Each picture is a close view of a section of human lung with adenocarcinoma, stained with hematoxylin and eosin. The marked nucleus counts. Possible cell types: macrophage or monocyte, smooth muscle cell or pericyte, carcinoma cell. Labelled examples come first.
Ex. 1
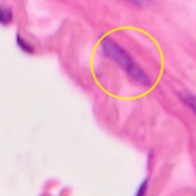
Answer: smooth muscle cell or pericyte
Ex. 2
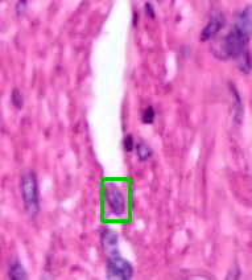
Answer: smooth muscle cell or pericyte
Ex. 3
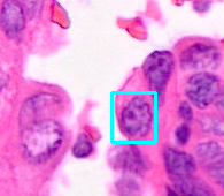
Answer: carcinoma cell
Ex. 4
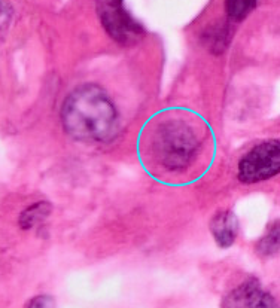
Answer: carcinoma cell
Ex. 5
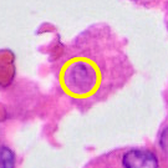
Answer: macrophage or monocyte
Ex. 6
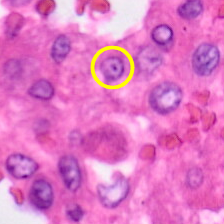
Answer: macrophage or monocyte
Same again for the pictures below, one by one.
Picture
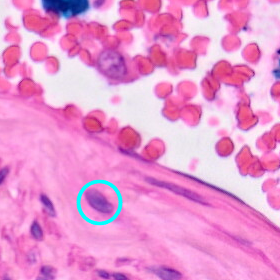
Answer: smooth muscle cell or pericyte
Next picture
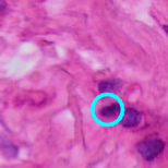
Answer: smooth muscle cell or pericyte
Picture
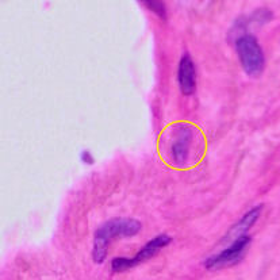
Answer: smooth muscle cell or pericyte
